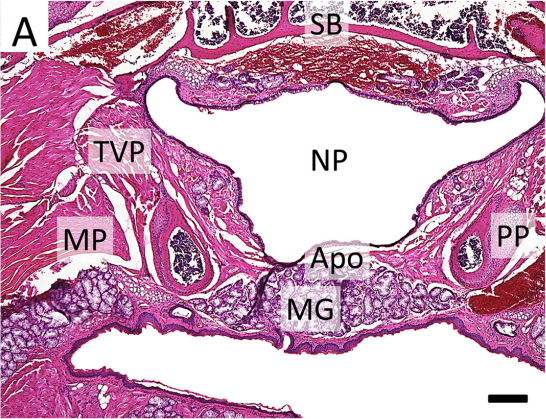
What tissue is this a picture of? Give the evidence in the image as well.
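Soft palate. A tissue shelf with a layer of pale purple glands separates an upper air space from a lower one. Pink skeletal muscle bundles lie on either side.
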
